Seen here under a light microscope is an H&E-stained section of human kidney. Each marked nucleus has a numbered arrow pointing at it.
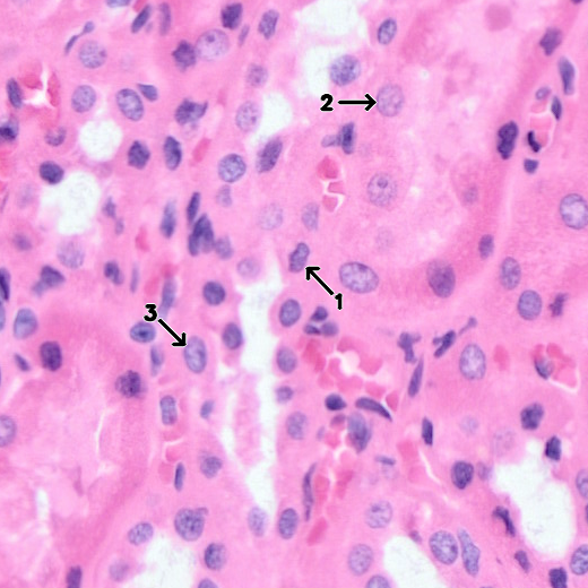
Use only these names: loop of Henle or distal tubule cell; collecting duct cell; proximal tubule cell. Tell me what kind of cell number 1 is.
loop of Henle or distal tubule cell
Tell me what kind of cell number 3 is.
loop of Henle or distal tubule cell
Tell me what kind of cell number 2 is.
proximal tubule cell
